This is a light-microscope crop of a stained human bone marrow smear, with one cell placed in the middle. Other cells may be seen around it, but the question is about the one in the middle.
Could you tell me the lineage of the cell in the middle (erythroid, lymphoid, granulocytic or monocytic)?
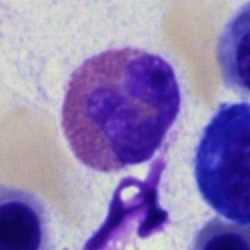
granulocytic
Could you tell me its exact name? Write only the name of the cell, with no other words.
eosinophil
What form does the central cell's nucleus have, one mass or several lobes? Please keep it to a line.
We find a nucleus divided into at least two lobes.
